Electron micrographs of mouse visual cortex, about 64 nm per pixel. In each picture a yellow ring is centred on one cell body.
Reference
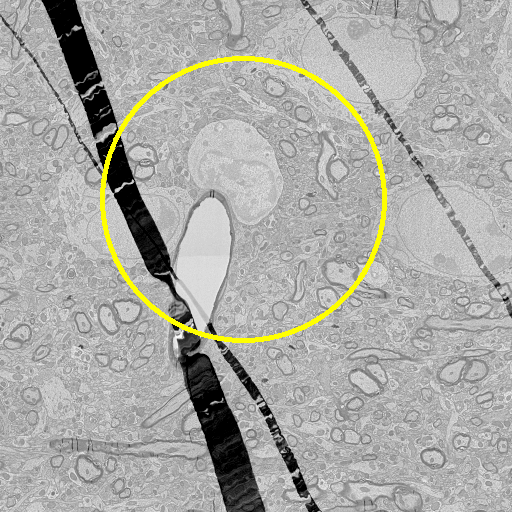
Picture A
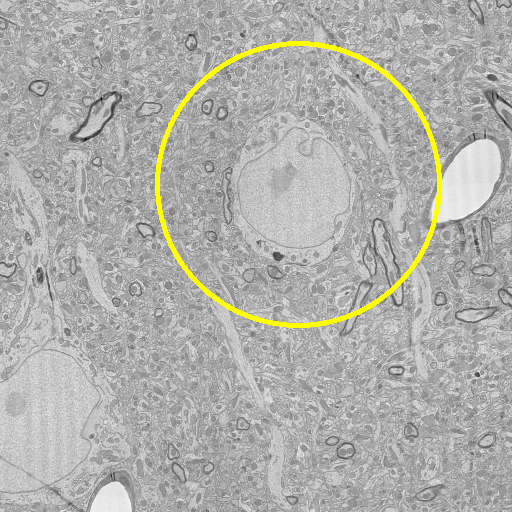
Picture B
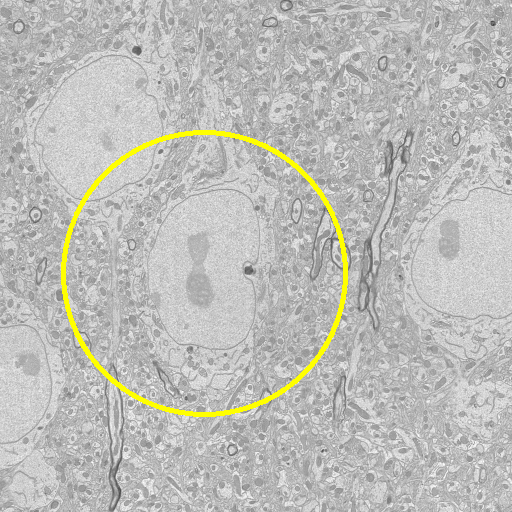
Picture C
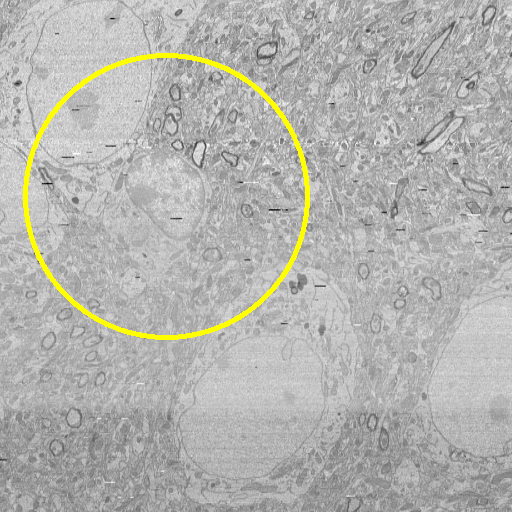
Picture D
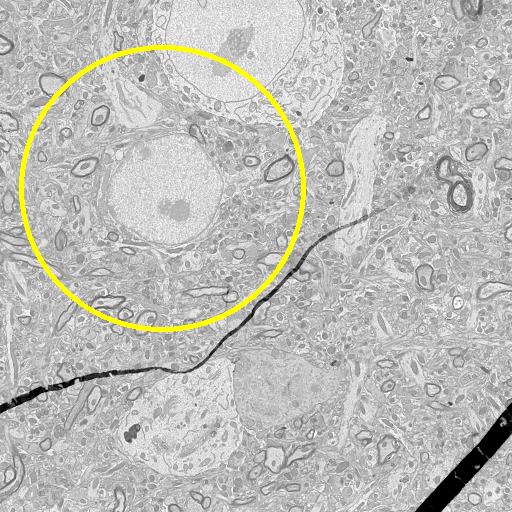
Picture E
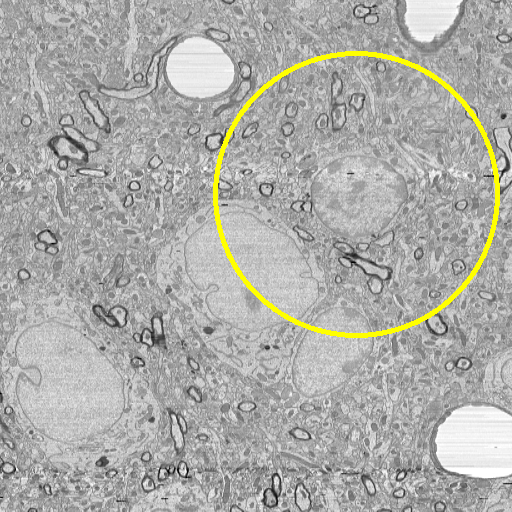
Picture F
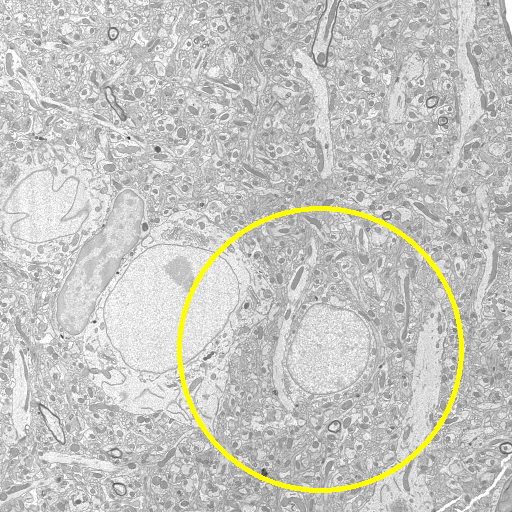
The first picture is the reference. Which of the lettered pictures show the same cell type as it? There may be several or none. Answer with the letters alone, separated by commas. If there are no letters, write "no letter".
C, E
